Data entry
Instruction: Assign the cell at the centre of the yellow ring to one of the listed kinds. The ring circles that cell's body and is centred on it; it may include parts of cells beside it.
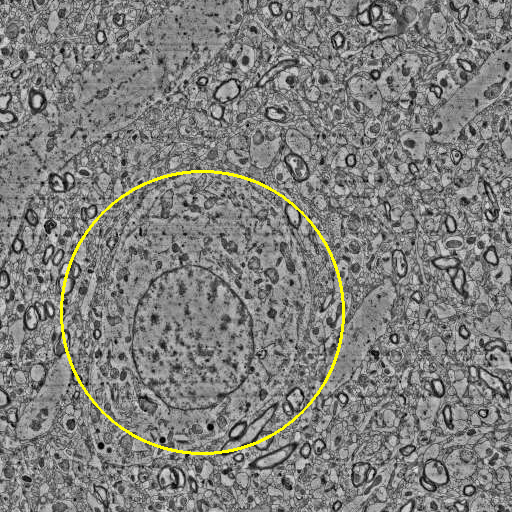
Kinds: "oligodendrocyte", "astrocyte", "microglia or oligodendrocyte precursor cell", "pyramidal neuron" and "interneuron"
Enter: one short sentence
The centre of the ring falls on an interneuron.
